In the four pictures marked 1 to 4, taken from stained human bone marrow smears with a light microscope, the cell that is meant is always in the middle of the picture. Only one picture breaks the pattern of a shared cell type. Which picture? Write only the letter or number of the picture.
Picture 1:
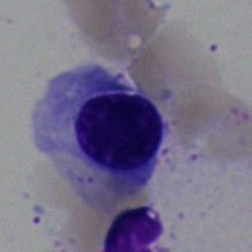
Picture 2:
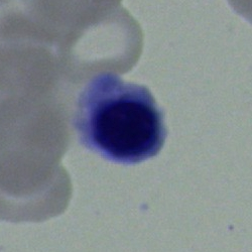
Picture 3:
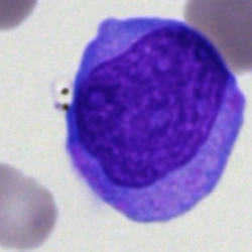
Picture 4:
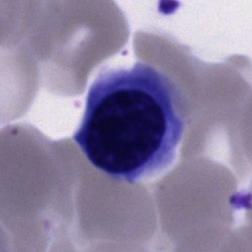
3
